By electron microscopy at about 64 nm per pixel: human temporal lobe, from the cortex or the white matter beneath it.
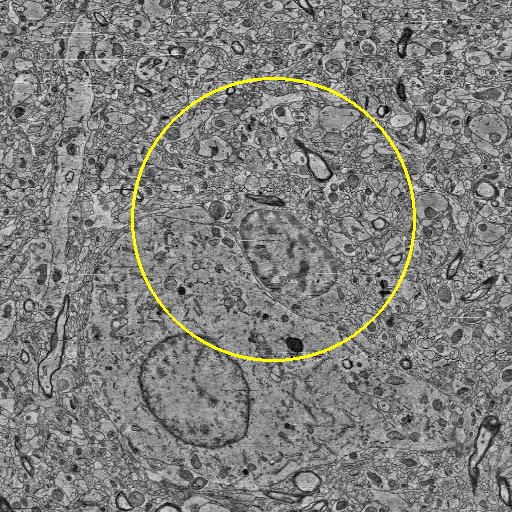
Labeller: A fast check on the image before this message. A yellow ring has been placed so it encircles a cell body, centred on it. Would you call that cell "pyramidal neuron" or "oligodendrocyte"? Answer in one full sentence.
In this image, an oligodendrocyte is the cell on which the yellow ring is centred.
